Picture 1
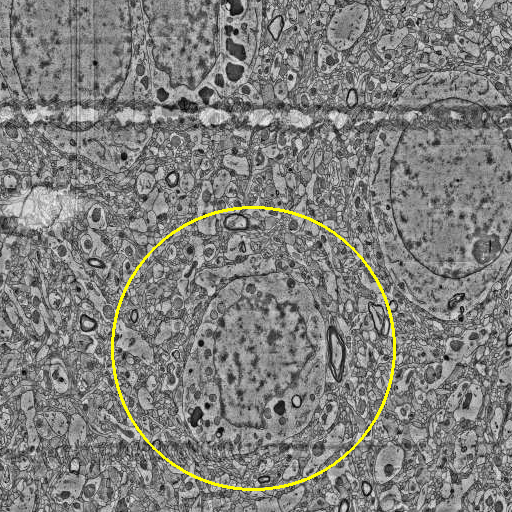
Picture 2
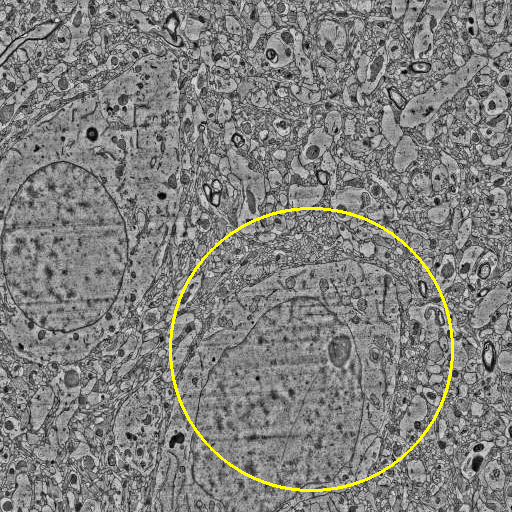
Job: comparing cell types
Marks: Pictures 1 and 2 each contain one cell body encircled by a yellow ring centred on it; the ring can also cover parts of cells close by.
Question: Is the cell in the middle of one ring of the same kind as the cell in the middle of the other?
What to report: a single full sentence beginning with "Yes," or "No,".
Yes, the cell at the ring centre in Picture 1 and its partner in Picture 2 are of one kind.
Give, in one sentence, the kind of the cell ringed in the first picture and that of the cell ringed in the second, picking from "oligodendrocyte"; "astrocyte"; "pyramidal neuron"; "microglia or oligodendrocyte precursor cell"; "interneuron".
The second cell is an interneuron, just as the first is.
